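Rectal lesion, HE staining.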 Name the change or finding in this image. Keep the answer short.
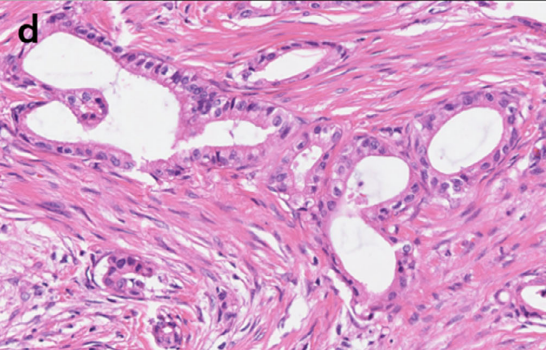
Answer: Well‐differentiated tubular adenocarcinoma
